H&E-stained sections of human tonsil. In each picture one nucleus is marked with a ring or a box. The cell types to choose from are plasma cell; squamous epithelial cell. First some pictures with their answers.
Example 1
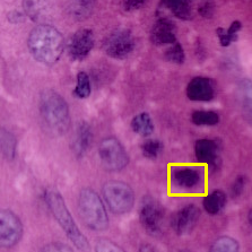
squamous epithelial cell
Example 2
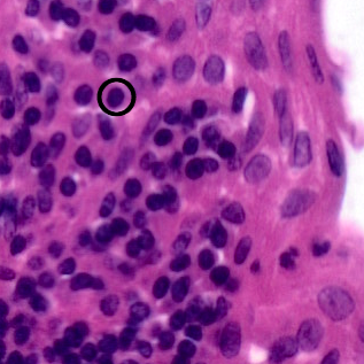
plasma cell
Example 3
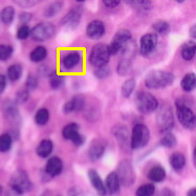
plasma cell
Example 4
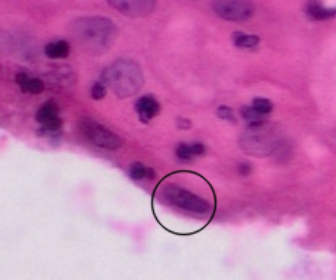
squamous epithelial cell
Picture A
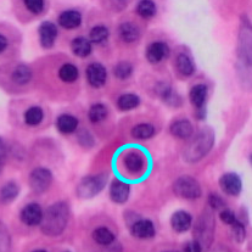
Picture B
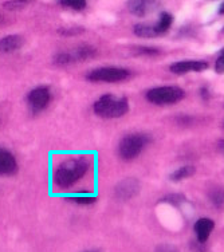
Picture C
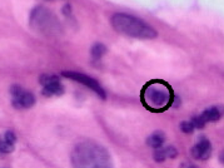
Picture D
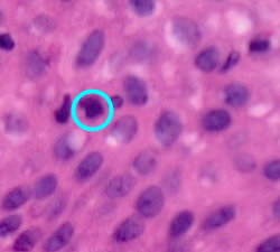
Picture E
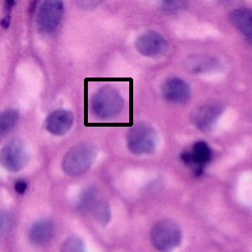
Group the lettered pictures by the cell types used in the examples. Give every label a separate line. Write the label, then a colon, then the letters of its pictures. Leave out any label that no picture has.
plasma cell: A
squamous epithelial cell: B, C, D, E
